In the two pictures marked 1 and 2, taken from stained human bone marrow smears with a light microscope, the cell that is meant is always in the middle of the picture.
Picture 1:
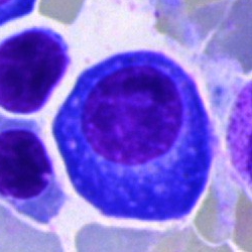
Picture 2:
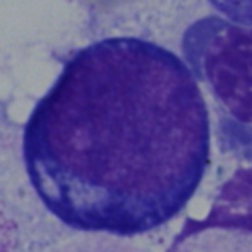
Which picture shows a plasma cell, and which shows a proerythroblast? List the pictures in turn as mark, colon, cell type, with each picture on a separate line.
1: plasma cell
2: proerythroblast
